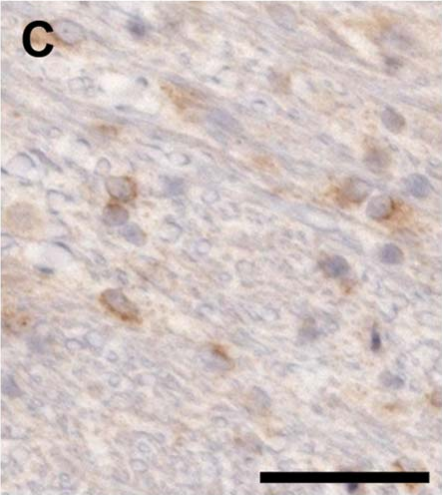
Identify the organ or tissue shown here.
White matter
